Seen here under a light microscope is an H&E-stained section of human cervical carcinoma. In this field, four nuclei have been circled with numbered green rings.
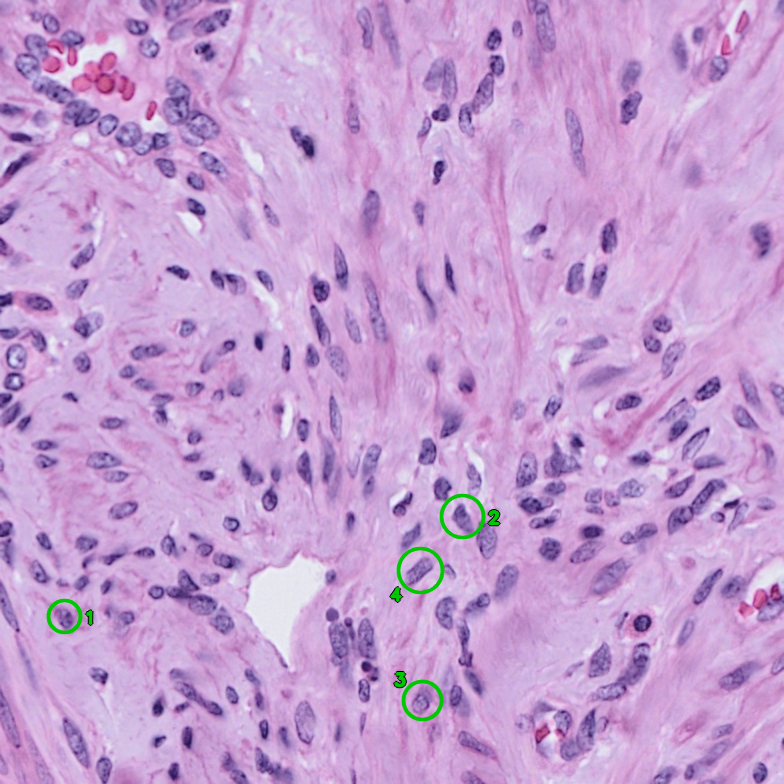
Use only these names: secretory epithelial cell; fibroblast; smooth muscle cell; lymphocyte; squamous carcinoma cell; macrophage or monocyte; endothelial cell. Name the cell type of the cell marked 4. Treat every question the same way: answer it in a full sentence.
The mark numbered 4 indicates the nucleus of a fibroblast.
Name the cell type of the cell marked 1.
The cell assigned the number 1 is a smooth muscle cell.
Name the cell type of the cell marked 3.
The cell numbered 3 represents a smooth muscle cell.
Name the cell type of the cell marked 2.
In the marked set, the cell given number 2 is a fibroblast.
